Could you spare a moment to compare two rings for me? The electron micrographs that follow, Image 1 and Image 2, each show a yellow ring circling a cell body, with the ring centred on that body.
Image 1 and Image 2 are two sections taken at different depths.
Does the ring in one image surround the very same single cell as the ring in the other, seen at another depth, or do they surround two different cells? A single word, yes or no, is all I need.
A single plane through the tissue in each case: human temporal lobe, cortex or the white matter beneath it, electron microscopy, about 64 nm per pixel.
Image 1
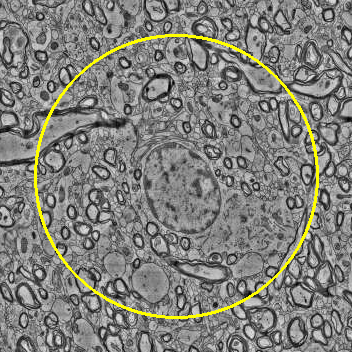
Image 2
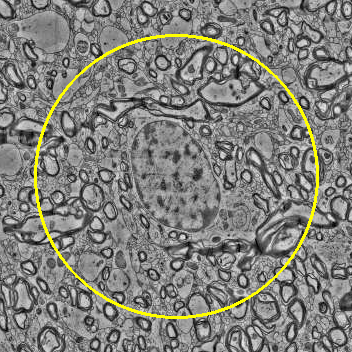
yes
